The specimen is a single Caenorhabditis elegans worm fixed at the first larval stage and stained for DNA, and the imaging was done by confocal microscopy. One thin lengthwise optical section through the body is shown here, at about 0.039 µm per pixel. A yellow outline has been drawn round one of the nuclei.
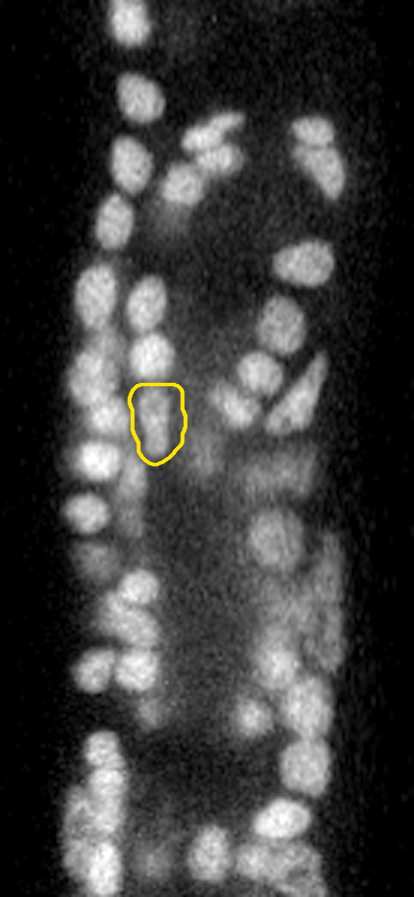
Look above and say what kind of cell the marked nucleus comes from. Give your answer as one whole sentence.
The nucleus comes from a pharyngeal marginal cell.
